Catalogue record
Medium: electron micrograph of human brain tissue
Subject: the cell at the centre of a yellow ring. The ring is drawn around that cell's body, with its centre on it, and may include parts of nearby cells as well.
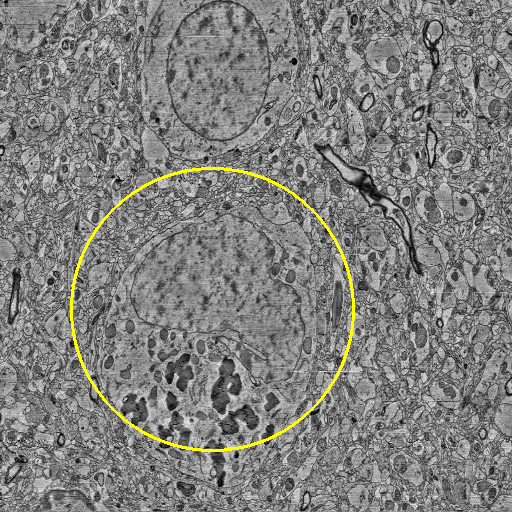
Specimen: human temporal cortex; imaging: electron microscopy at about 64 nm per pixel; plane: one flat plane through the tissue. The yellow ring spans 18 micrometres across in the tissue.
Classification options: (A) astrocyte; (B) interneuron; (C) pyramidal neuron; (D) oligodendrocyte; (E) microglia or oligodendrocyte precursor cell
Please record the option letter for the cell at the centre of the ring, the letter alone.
B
